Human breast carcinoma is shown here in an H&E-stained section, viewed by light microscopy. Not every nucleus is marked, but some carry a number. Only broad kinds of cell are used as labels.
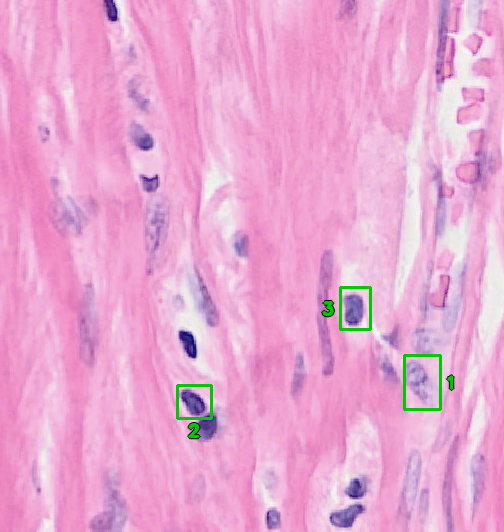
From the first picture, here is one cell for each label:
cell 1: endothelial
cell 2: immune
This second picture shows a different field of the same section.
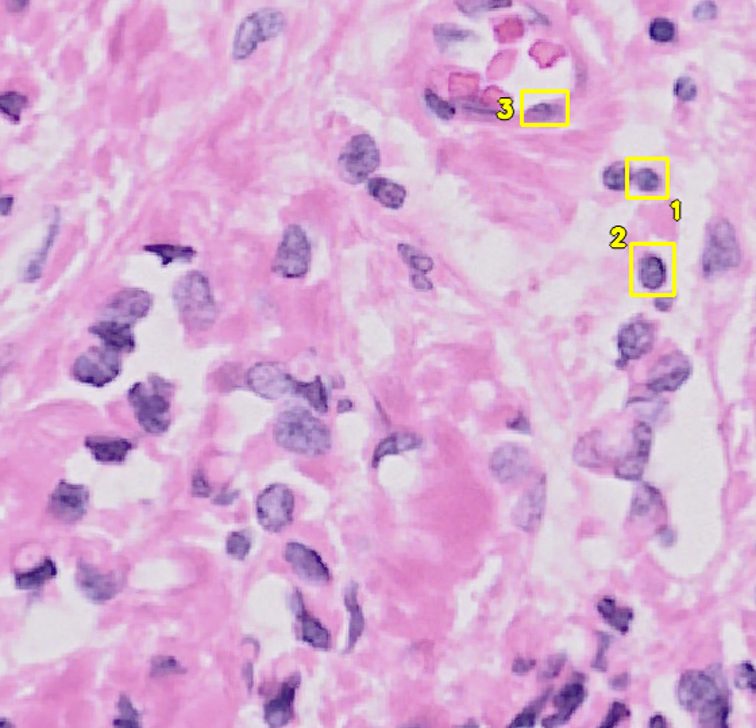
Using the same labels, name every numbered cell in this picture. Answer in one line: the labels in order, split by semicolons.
immune; immune; endothelial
